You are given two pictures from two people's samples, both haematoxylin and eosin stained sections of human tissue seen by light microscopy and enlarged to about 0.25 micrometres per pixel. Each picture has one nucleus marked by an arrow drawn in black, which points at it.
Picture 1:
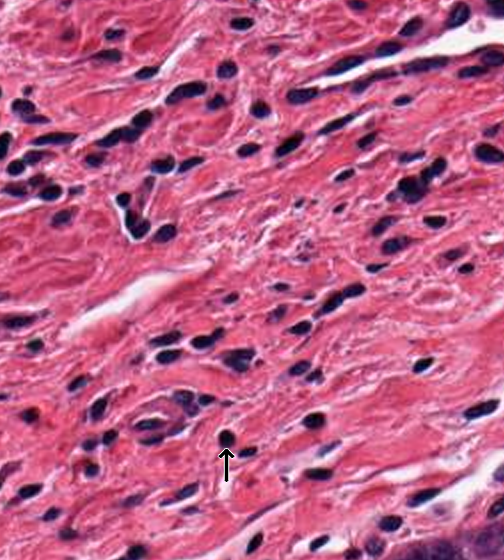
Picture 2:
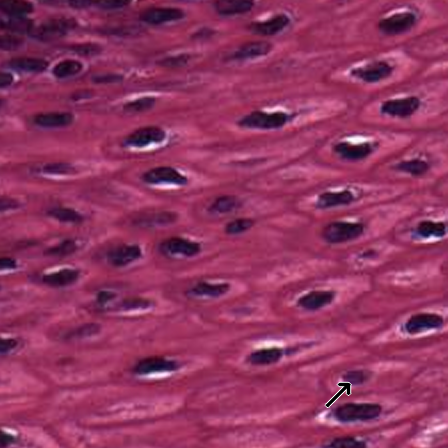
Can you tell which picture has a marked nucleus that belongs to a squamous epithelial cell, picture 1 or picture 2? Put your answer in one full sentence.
That the marked nucleus belongs to a squamous epithelial cell holds for picture 2 and not for the other picture.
